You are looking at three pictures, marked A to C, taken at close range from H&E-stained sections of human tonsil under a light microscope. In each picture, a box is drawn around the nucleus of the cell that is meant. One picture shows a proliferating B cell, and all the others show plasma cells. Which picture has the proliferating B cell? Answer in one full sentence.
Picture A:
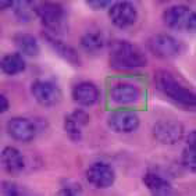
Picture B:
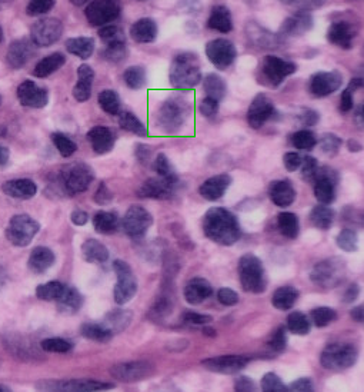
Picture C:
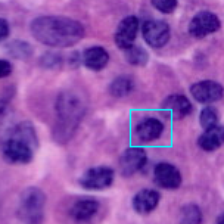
The cell in picture B is the proliferating B cell.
